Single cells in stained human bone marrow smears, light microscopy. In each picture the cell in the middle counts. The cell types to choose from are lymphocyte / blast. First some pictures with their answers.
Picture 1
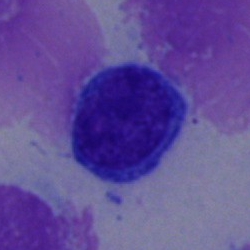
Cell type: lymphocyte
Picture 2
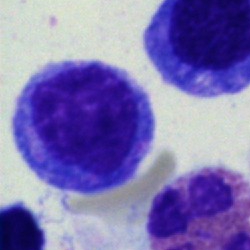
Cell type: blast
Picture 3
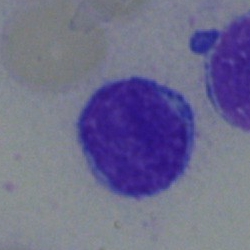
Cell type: lymphocyte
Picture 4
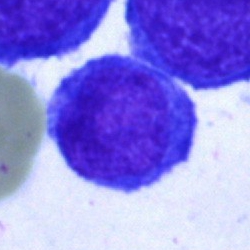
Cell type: blast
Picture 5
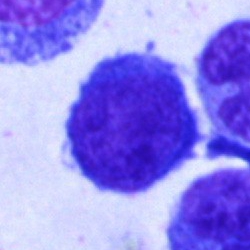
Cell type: blast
